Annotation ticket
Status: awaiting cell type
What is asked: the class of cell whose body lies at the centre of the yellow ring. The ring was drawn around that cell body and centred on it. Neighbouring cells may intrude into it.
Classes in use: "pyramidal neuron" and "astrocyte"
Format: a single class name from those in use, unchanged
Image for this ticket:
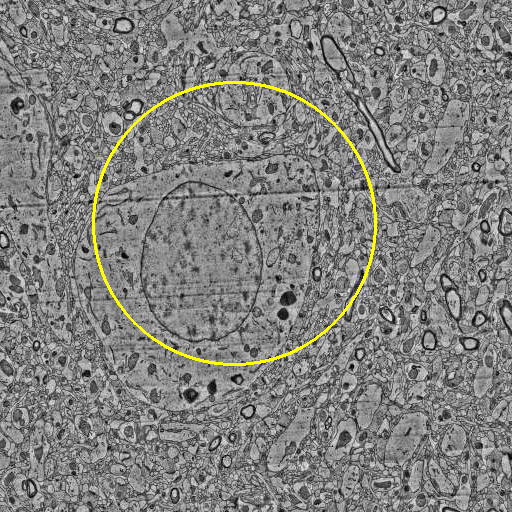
pyramidal neuron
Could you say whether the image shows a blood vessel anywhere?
No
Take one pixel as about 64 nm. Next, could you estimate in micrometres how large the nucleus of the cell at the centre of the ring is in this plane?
About 10 by 8 micrometers for the nucleus, in this plane.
